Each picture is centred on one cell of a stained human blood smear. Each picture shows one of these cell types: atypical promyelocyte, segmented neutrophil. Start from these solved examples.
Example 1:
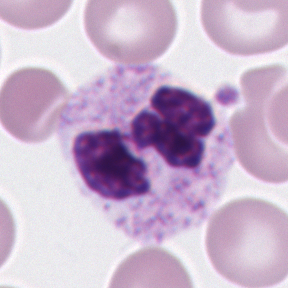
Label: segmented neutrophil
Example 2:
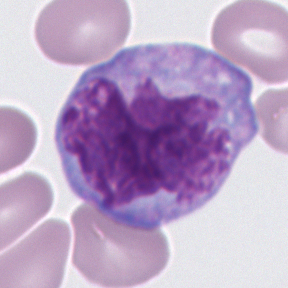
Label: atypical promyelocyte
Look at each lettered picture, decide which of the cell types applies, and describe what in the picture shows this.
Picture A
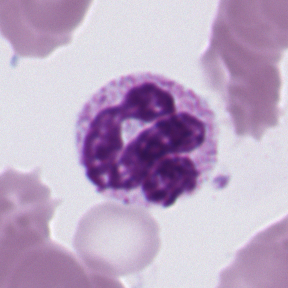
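Label: segmented neutrophil. The nucleus is divided into several lobes joined to one another.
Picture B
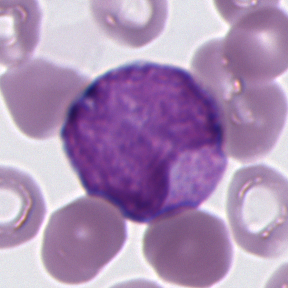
Label: atypical promyelocyte. The nucleus fills most of the cell.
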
